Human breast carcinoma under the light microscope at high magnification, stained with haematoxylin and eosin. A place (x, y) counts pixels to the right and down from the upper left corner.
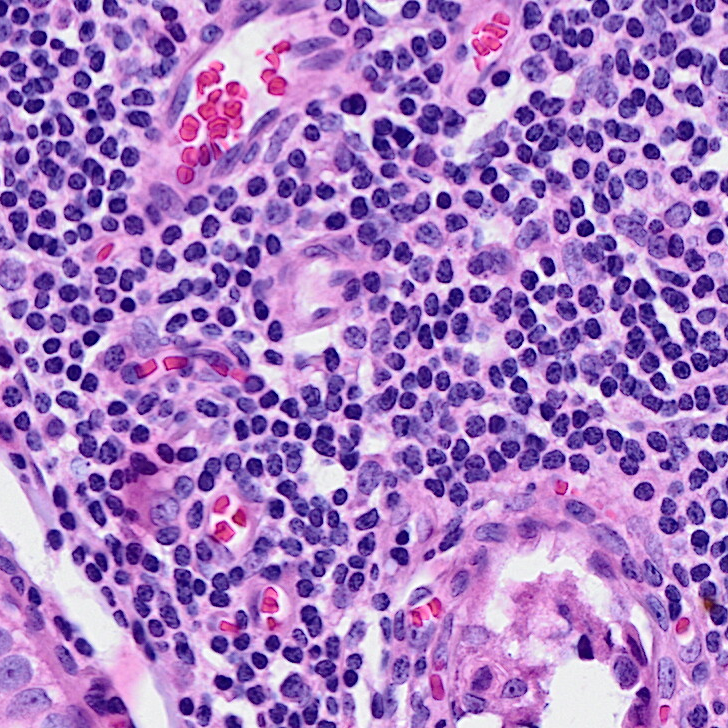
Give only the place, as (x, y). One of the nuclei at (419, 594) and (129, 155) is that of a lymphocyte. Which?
(129, 155)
